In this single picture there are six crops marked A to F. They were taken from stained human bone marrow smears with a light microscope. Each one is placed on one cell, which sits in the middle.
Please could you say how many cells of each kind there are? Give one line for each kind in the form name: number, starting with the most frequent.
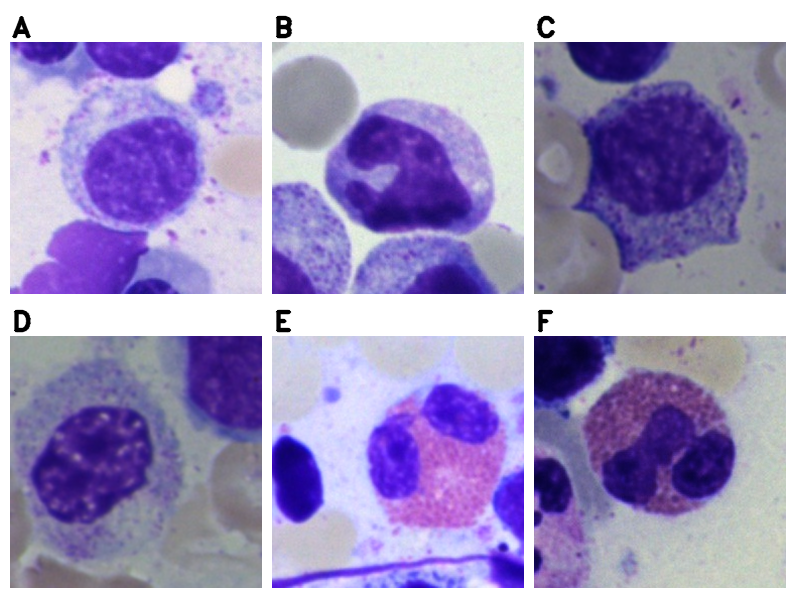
myelocyte: 3
eosinophil: 2
monocyte: 1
